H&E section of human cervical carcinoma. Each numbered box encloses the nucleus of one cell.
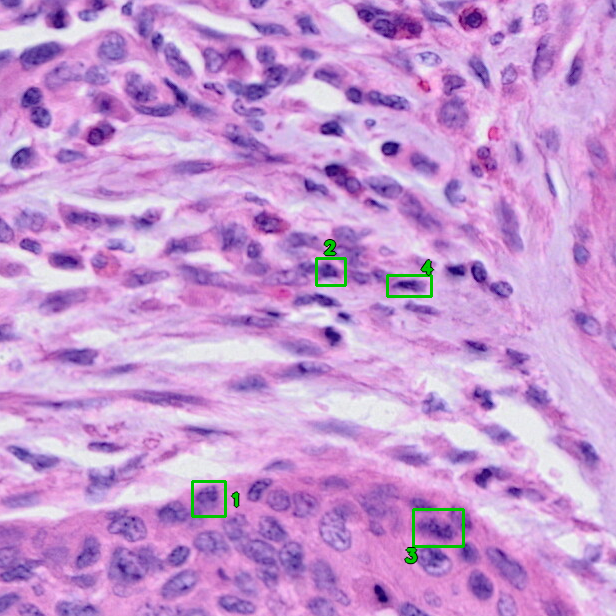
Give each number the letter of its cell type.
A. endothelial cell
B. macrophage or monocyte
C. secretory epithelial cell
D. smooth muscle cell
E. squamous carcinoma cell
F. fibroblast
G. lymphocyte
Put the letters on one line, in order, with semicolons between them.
E; G; E; G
